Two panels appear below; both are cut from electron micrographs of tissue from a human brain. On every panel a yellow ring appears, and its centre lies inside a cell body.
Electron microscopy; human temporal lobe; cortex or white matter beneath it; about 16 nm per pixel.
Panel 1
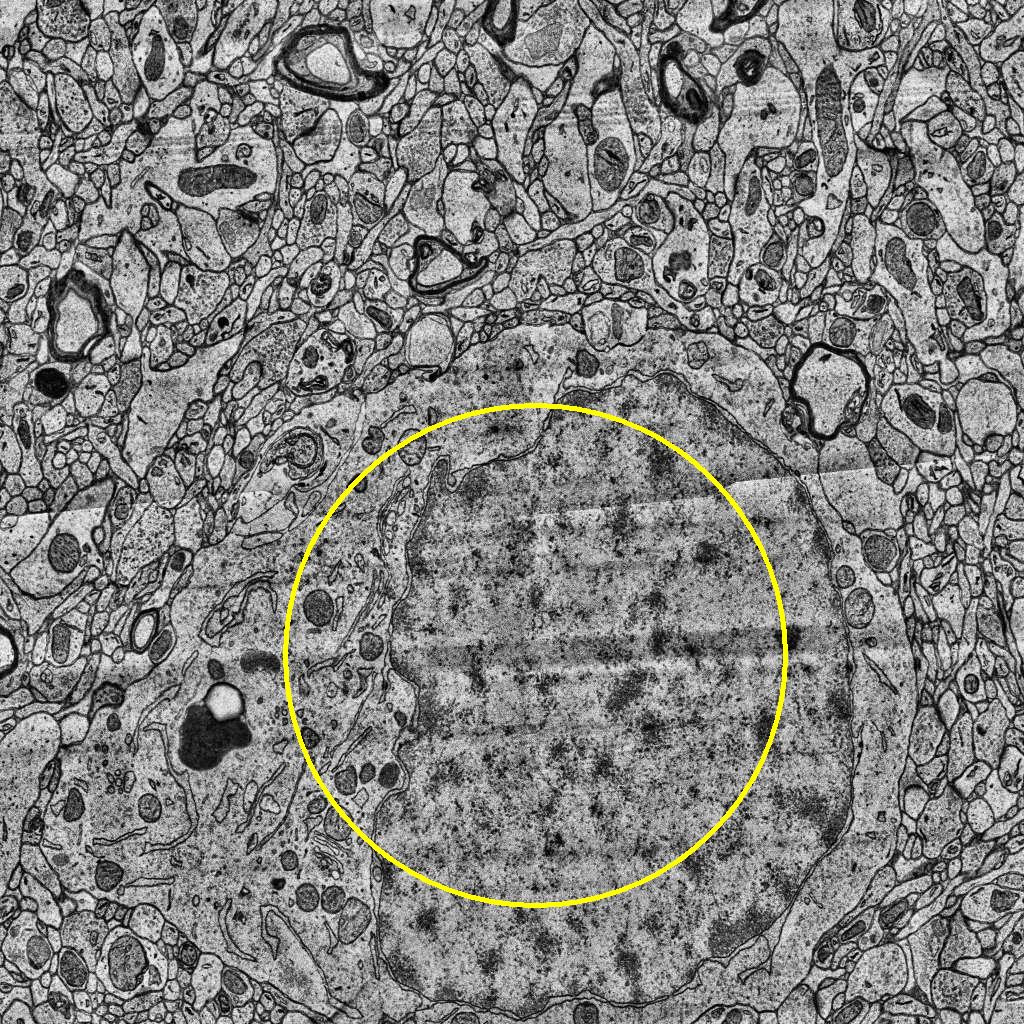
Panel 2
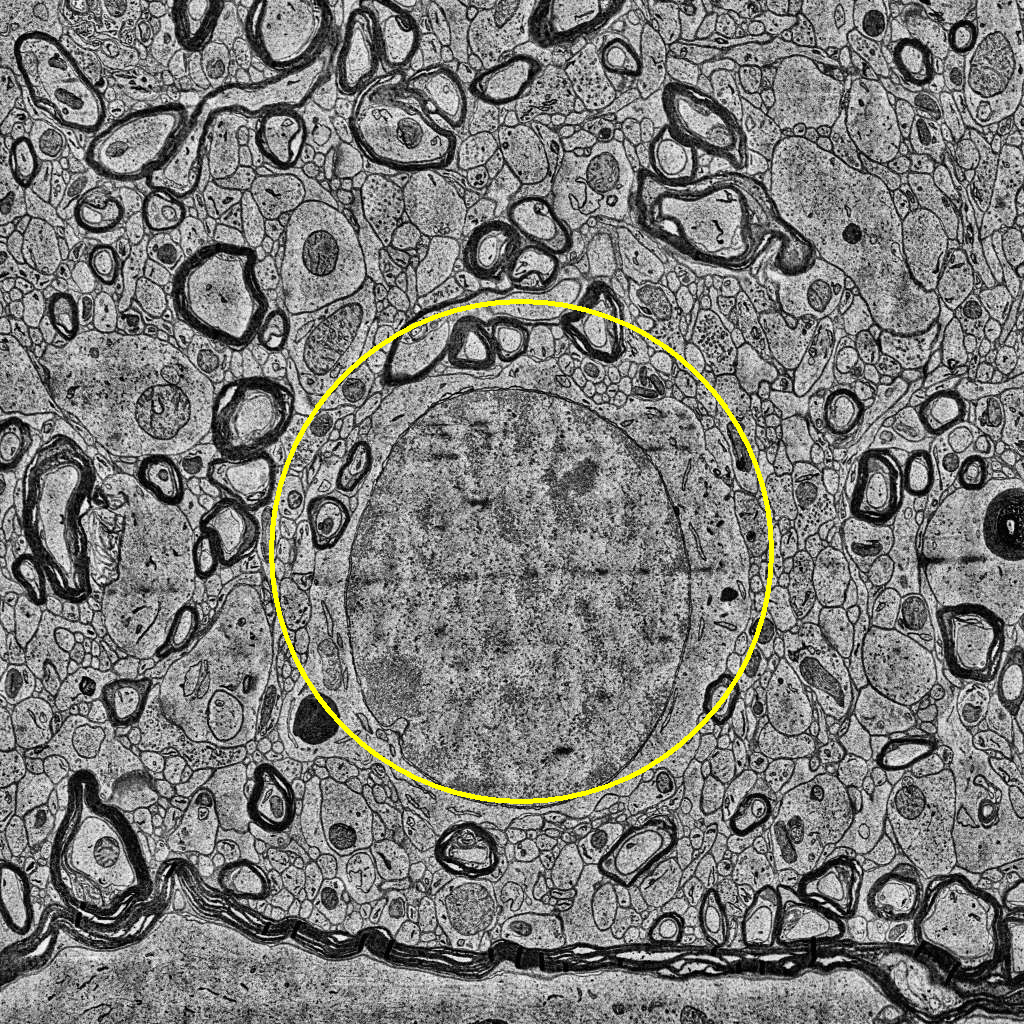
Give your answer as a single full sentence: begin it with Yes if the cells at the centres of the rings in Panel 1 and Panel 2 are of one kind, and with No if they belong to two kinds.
No, the cells at the middle of the rings in Panels 1 and 2 are of two kinds.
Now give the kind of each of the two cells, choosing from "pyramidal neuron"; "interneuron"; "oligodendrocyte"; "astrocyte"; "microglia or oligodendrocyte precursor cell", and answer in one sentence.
The first of the two cells is an interneuron, and the second is a microglial cell or oligodendrocyte precursor cell.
